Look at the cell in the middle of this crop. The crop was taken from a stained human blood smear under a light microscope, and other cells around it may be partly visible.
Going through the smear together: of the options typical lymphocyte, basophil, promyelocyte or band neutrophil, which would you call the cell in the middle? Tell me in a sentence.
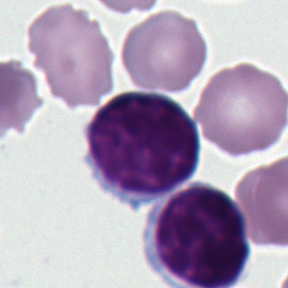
Positioned in the middle of the crop is a typical lymphocyte.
